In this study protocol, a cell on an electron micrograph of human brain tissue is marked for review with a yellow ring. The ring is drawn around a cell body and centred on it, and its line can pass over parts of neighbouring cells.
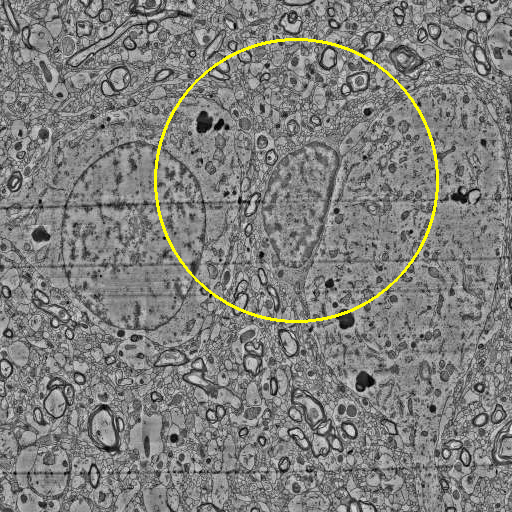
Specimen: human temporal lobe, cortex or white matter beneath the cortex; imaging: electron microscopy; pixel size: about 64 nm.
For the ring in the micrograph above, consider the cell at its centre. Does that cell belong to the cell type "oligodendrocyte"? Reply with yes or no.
yes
